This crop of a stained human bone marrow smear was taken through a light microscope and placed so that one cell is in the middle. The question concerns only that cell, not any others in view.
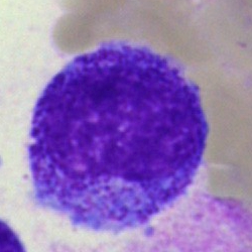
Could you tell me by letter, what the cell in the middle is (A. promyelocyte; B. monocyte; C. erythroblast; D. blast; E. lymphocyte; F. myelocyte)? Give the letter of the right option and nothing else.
A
